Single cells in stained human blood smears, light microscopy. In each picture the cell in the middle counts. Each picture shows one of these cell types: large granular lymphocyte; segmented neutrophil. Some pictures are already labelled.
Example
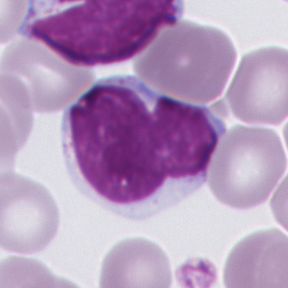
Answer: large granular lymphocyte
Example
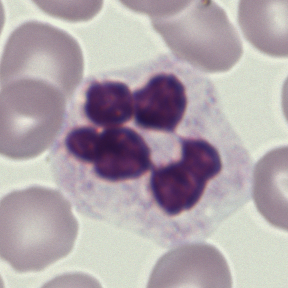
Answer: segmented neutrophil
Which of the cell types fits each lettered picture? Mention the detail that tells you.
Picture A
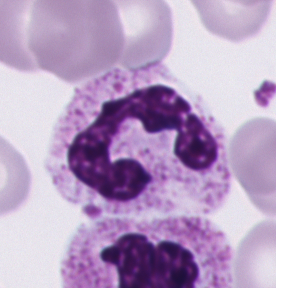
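Label: segmented neutrophil. The nucleus forms a curved band that wraps around a central patch of cytoplasm.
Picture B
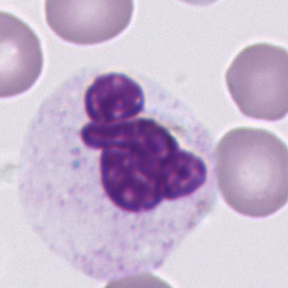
Label: segmented neutrophil. The cytoplasm is abundant around the nucleus.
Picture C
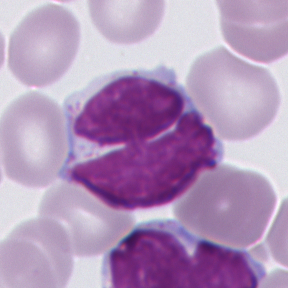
Label: large granular lymphocyte. The cytoplasm forms a thin pale blue-grey rim that is widest on the left side of the cell.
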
